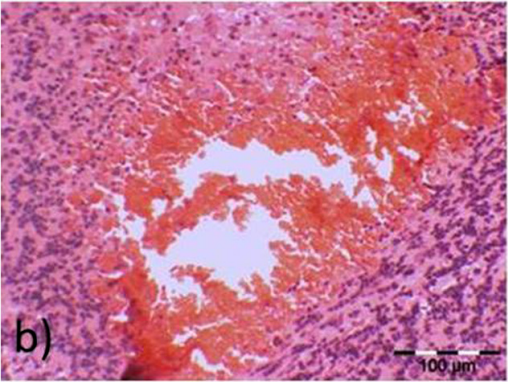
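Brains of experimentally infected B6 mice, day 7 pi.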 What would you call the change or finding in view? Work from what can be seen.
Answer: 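A central mass of orange-red blood lies within densely cellular tissue. The blood surrounds a torn, empty space and is not inside a vessel.
Conclusion: hemorrhages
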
